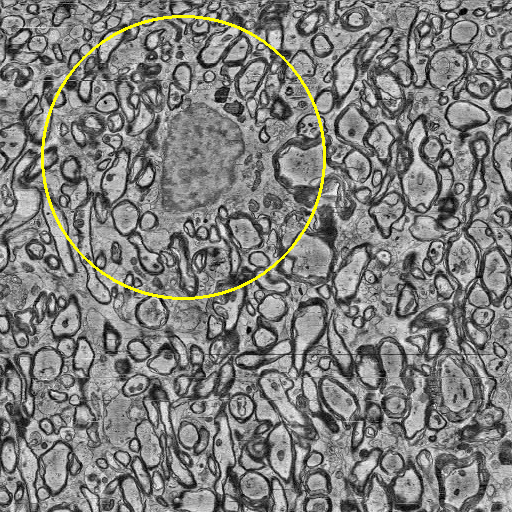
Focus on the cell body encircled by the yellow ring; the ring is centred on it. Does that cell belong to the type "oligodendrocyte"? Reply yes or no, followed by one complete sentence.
Yes, that type fits the cell lying at the centre of the ring in the picture.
